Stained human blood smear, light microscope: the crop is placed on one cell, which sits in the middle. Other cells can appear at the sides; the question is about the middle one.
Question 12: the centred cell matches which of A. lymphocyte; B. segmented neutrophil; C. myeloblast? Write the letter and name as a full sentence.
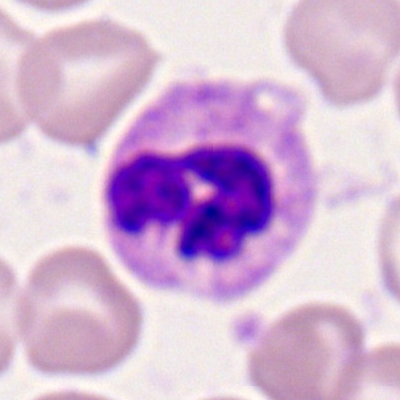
The cell in the middle is a segmented neutrophil, and so option B is correct.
